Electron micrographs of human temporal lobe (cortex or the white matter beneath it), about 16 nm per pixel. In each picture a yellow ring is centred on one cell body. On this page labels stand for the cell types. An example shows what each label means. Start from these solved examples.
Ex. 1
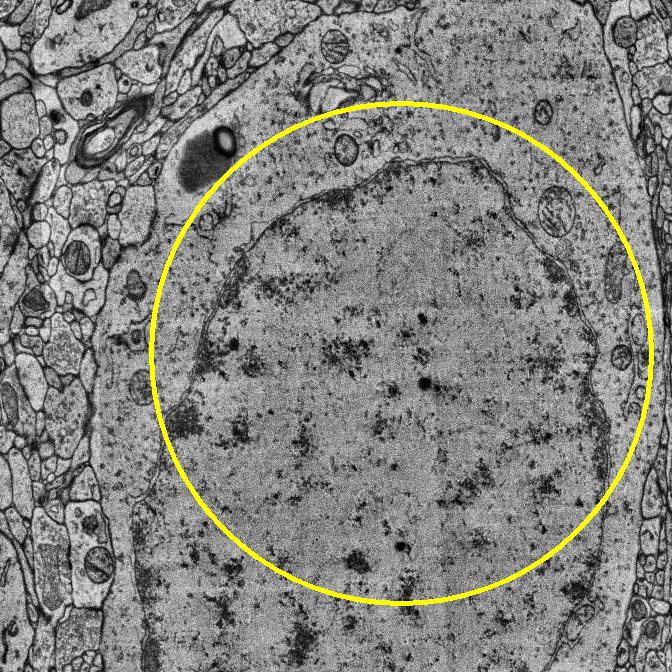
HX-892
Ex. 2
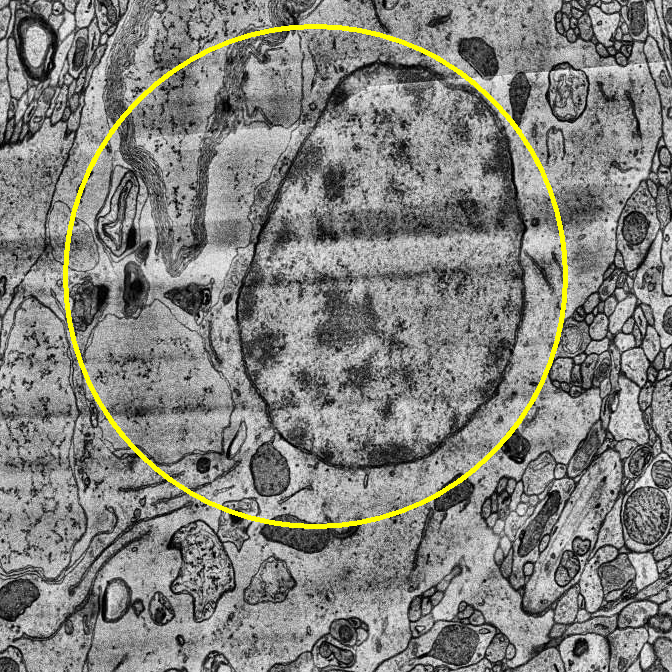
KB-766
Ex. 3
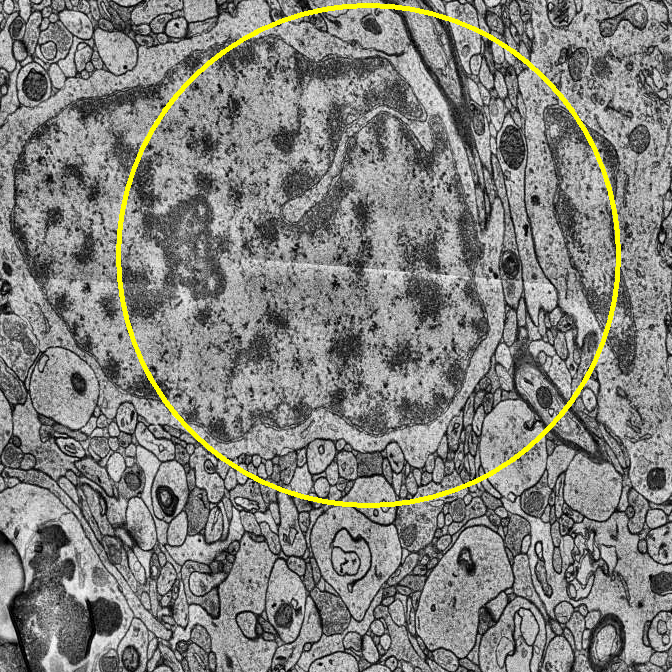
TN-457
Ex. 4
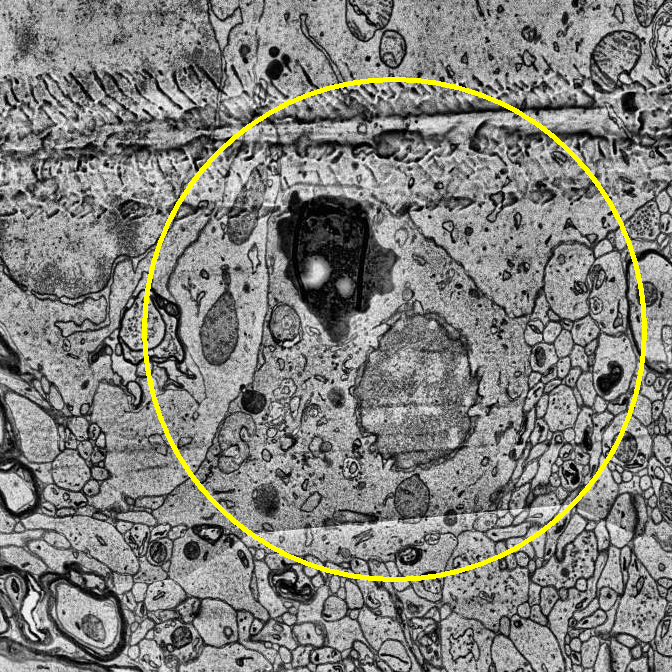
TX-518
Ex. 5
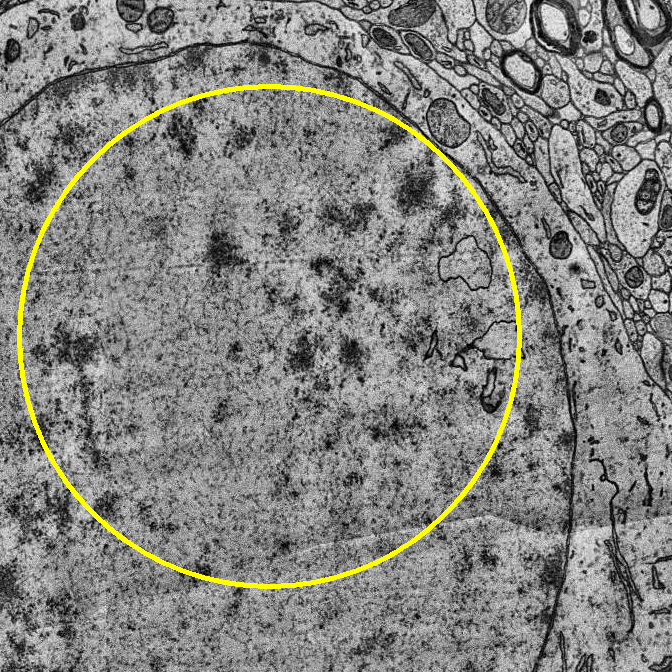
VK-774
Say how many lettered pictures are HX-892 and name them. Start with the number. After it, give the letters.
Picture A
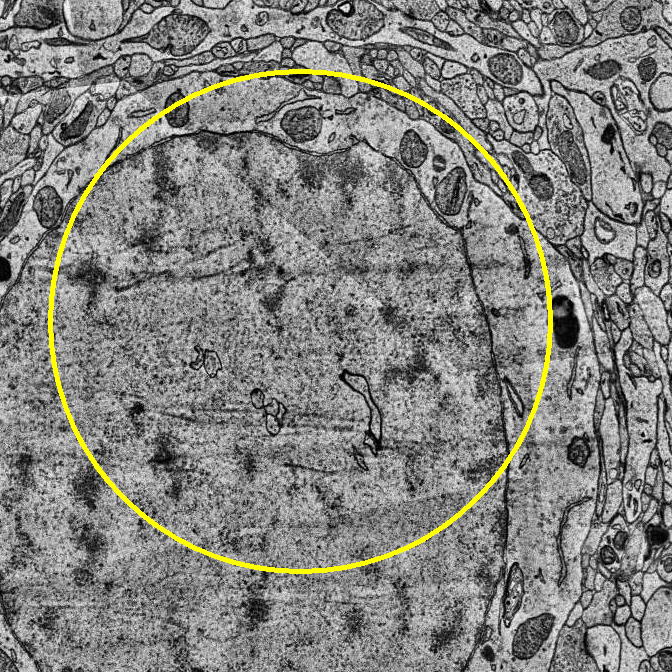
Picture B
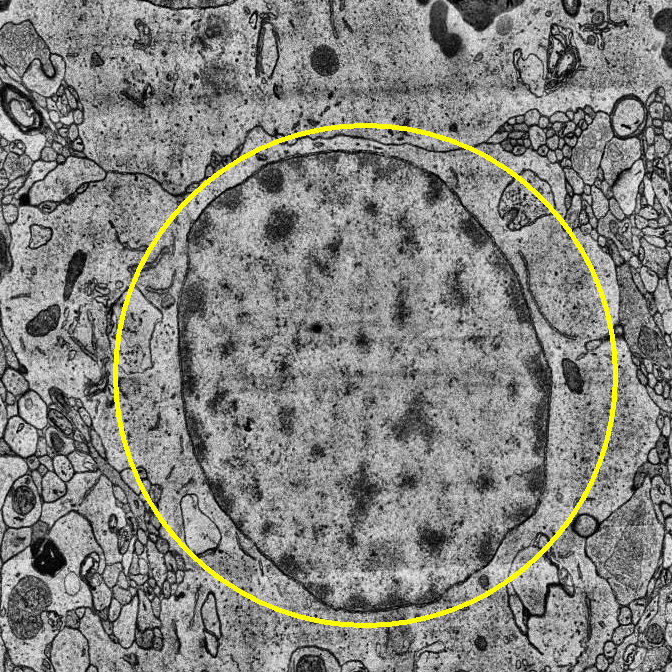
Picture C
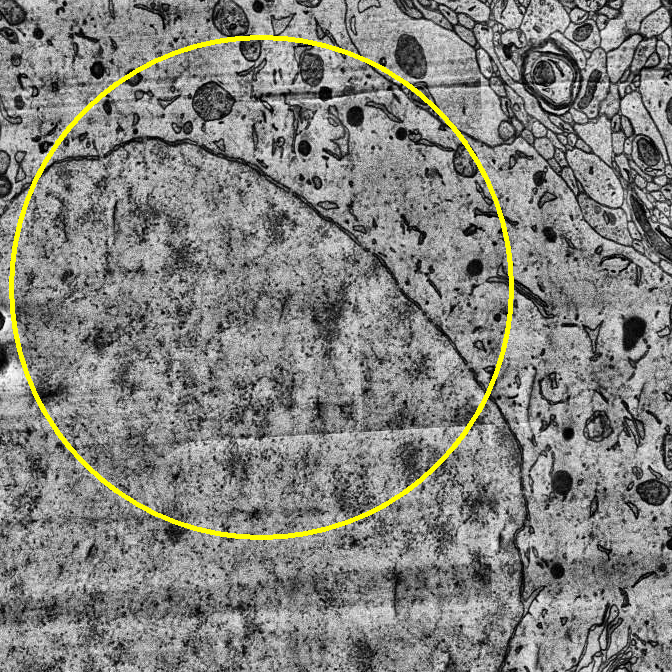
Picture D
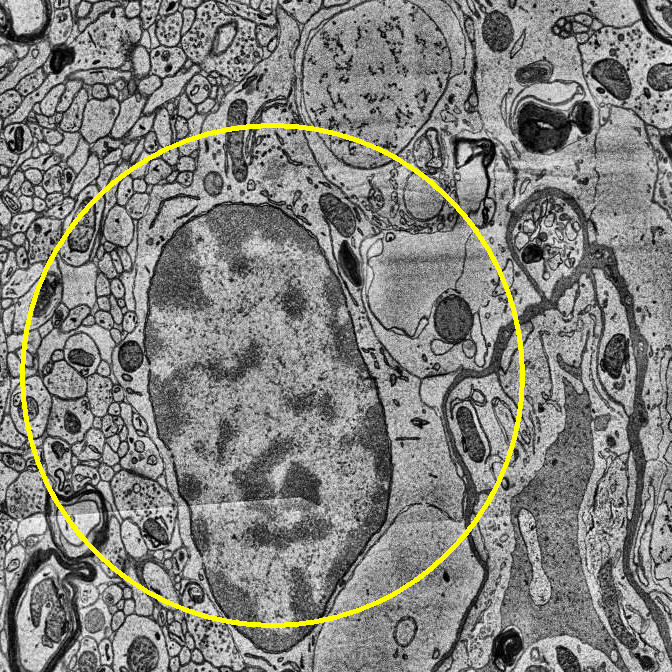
0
